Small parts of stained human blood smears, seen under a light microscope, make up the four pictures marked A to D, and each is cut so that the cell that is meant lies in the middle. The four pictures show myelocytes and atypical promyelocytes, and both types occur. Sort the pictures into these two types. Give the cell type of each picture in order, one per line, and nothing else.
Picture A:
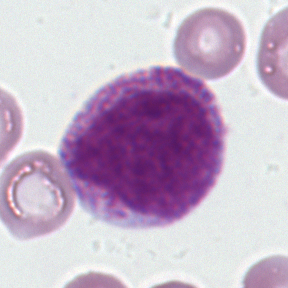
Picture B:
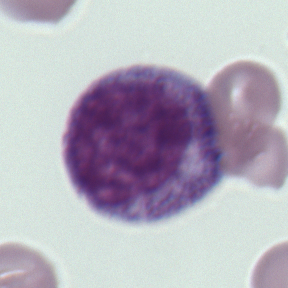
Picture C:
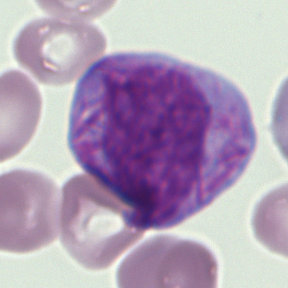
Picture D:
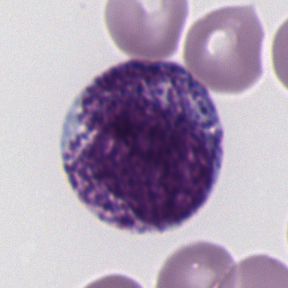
myelocyte
myelocyte
atypical promyelocyte
myelocyte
